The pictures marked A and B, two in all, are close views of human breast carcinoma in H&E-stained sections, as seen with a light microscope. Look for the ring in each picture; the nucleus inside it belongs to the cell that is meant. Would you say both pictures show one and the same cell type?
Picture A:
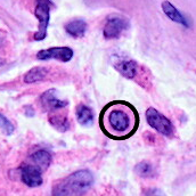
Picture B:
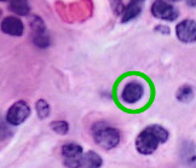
no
